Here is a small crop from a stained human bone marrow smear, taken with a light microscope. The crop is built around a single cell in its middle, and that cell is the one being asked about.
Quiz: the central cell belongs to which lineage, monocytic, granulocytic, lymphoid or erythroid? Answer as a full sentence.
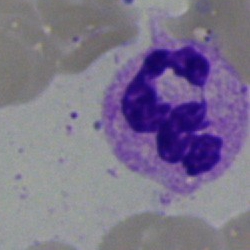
The cell at the center of this crop is categorized as granulocytic in lineage.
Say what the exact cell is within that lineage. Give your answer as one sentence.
In the middle of this smear crop, the cell is a segmented neutrophil.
